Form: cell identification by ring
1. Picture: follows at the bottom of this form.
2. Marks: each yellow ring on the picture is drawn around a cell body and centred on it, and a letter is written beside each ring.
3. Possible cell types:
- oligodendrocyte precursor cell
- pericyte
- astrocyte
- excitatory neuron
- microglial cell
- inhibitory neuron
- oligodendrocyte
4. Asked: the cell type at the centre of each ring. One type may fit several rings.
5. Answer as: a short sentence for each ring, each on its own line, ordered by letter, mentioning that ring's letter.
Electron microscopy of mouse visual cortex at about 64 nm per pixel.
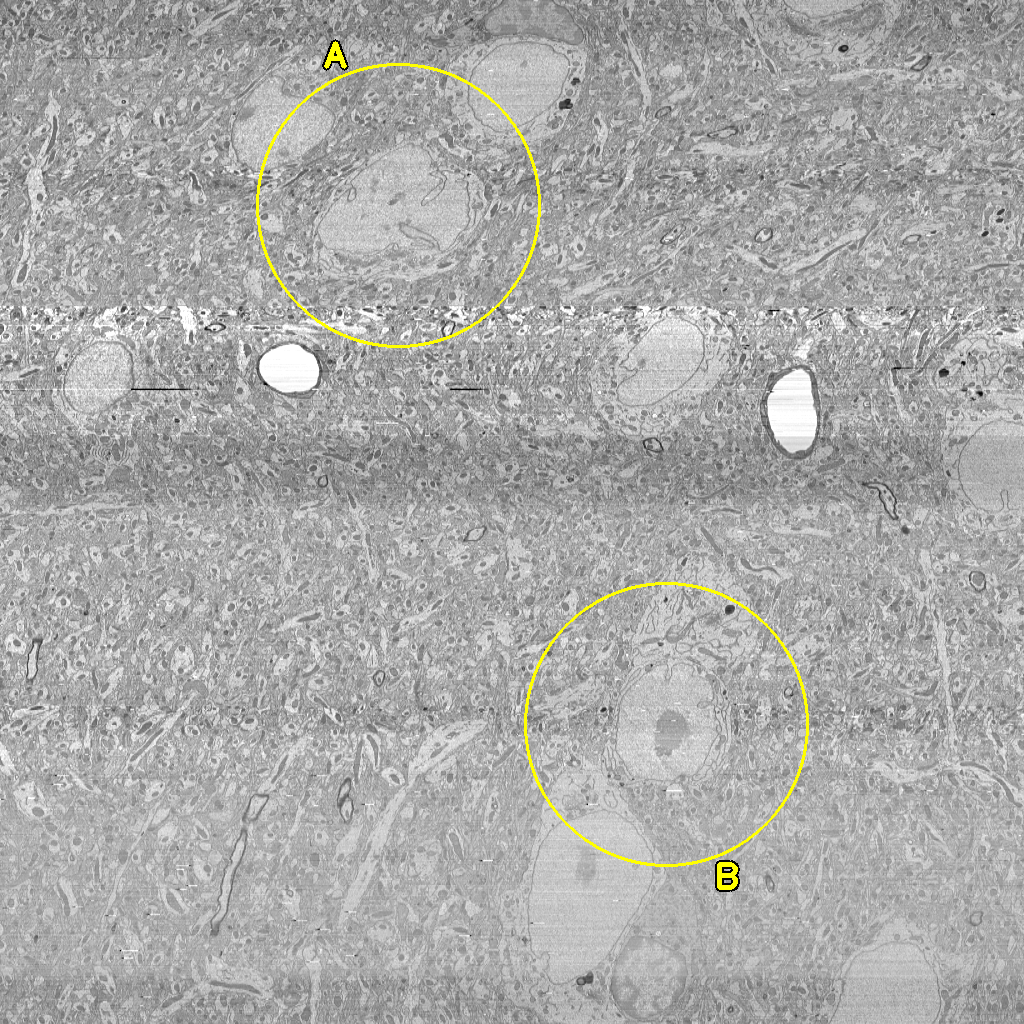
The cell at ring A's centre is an inhibitory neuron.
The cell at ring B's centre is an inhibitory neuron.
